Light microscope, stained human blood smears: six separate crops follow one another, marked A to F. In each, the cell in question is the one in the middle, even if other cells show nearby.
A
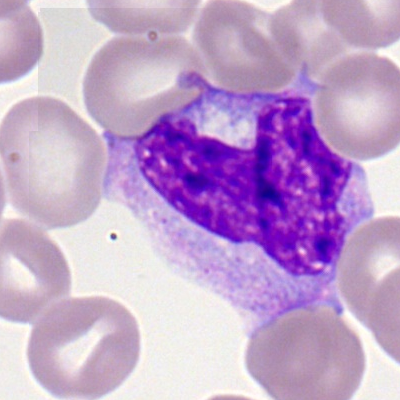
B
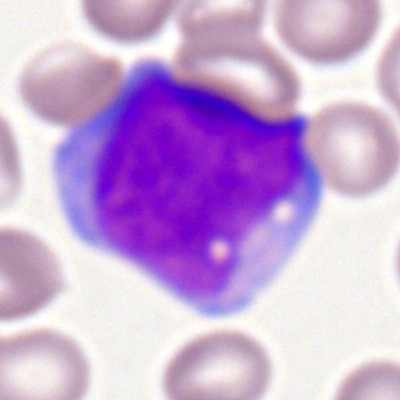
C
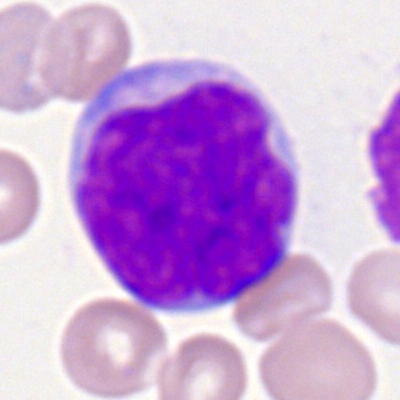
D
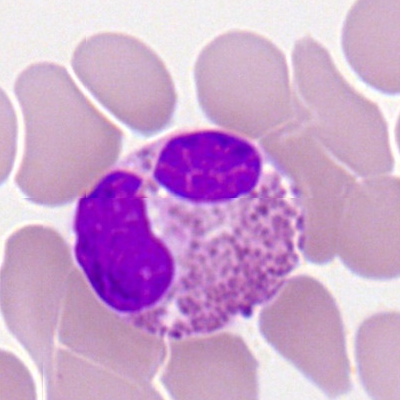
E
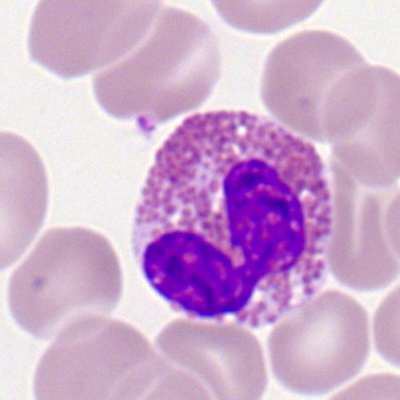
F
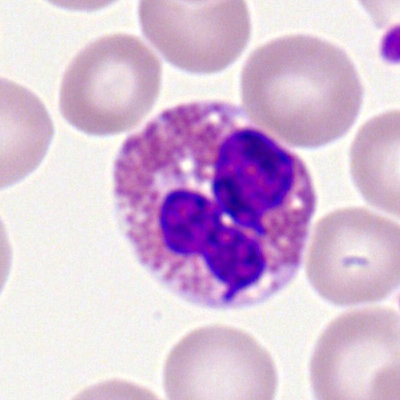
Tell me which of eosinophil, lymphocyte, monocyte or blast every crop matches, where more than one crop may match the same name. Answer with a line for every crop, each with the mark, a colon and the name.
A: monocyte
B: blast
C: blast
D: eosinophil
E: eosinophil
F: eosinophil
